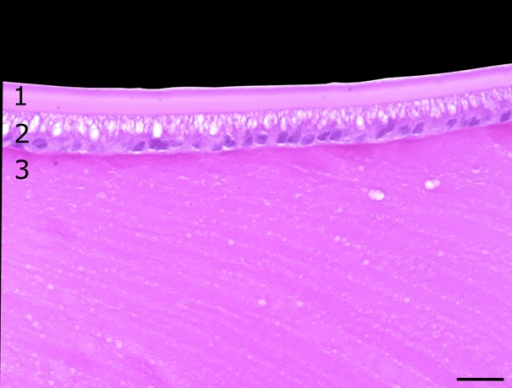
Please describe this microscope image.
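The anterior surface of the lens shows a smooth, even, acellular pink lens capsule overlying a single layer of lens epithelium. The epithelial cells have small round to oval purple nuclei and pale, somewhat vacuolated cytoplasm, sitting in a row directly beneath the capsule.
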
